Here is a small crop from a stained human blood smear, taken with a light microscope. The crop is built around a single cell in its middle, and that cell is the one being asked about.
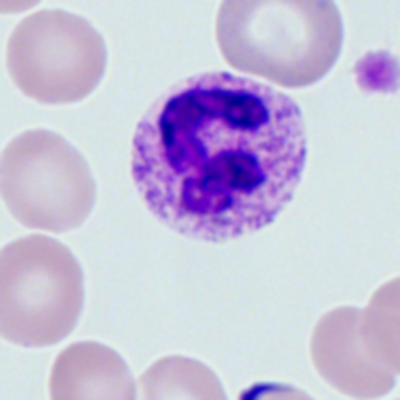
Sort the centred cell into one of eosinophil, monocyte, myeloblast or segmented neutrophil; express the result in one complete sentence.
The cell sitting right in the middle is a segmented neutrophil.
